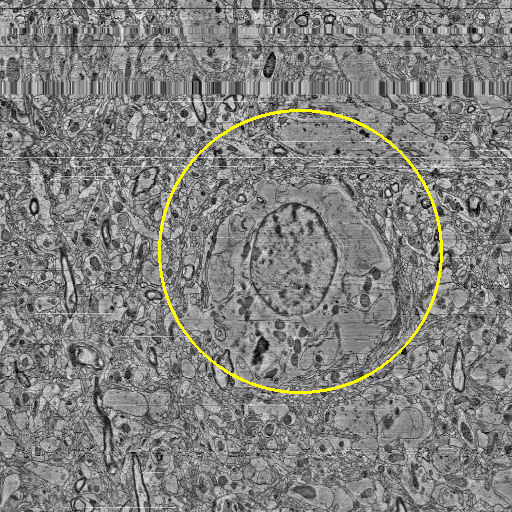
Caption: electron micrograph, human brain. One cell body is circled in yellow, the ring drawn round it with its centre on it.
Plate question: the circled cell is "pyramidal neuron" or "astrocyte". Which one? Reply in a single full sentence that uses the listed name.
The yellow ring on the plate is centred on an astrocyte, going by the listed names.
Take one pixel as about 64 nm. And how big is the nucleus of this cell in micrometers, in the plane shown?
In this plane, approximately 7 by 5 micrometers.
